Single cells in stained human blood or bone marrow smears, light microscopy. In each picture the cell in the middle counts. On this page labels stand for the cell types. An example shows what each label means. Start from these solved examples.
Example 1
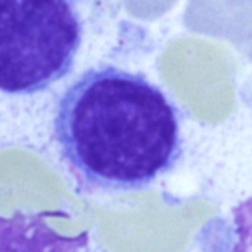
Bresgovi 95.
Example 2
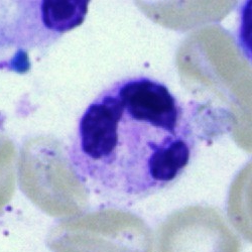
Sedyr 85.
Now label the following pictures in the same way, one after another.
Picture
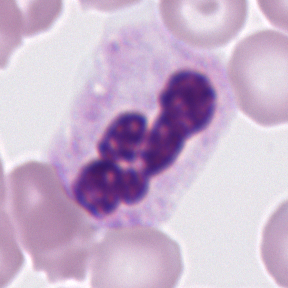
Sedyr 85.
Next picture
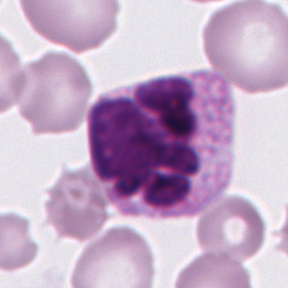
Sedyr 85.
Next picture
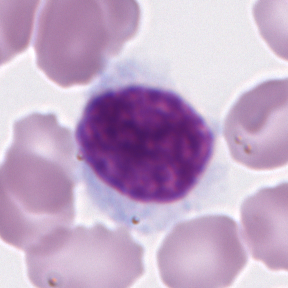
Bresgovi 95.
